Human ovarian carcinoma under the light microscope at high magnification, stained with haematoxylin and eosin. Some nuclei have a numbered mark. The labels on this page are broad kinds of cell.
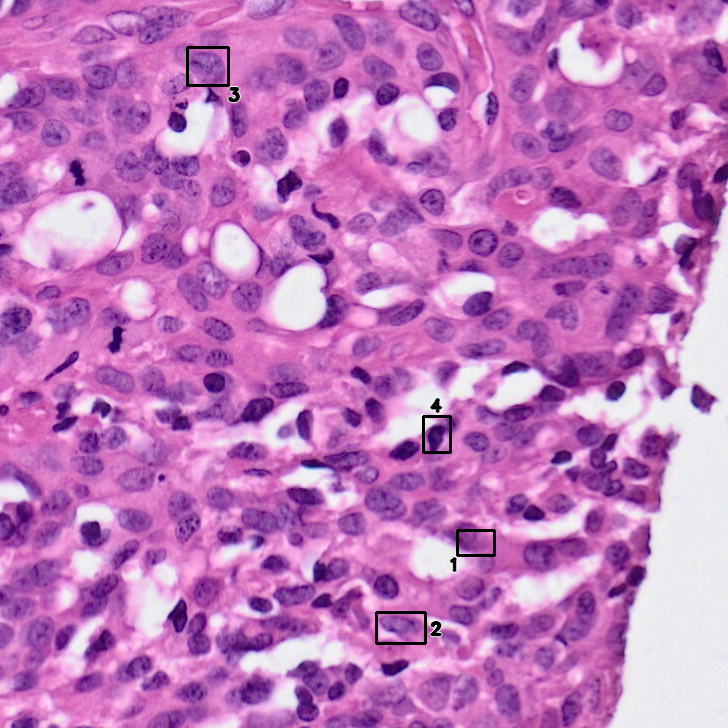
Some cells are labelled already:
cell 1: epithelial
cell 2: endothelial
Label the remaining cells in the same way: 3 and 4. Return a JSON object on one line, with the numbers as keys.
{"3": "epithelial", "4": "epithelial"}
